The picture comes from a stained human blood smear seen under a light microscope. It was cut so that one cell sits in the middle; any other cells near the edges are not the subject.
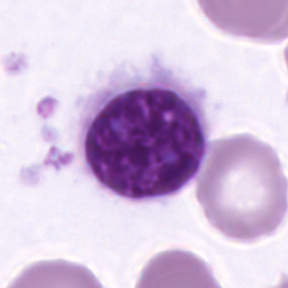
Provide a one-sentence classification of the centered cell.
In the centre of this crop there is a plasma cell.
